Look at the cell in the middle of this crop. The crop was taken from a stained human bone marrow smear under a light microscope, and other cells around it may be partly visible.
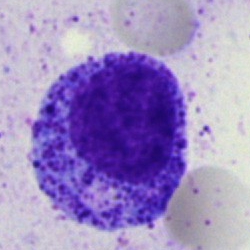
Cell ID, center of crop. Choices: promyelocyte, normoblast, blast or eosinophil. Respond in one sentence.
In the centre of this crop there is a promyelocyte.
